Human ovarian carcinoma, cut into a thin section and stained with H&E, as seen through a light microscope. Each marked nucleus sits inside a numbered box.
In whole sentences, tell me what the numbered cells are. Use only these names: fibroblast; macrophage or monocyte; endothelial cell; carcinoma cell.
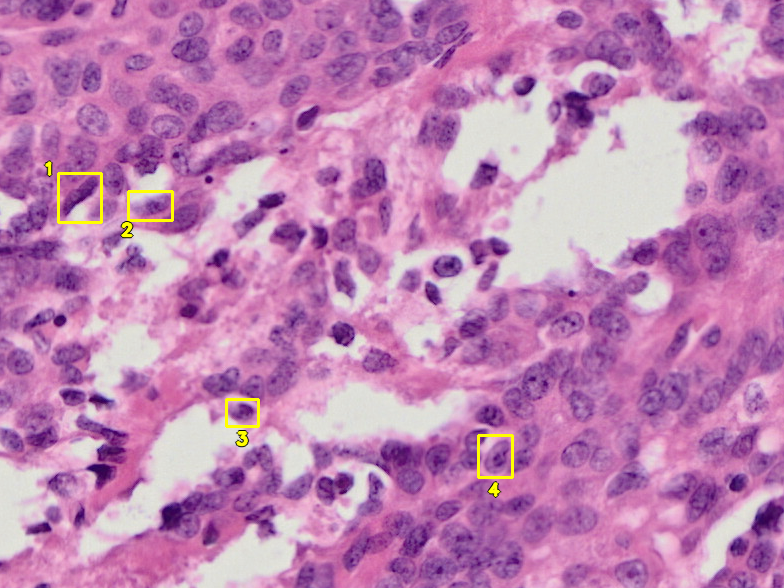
Cells 1, 2 and 3 are carcinoma cells. Cell 4 is a macrophage or monocyte.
